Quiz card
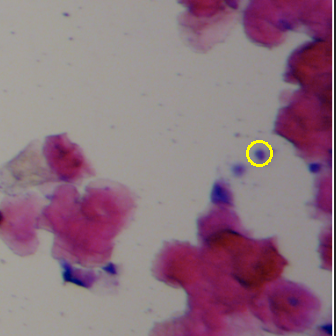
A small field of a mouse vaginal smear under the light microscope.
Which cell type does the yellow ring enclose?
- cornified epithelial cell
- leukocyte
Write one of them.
leukocyte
